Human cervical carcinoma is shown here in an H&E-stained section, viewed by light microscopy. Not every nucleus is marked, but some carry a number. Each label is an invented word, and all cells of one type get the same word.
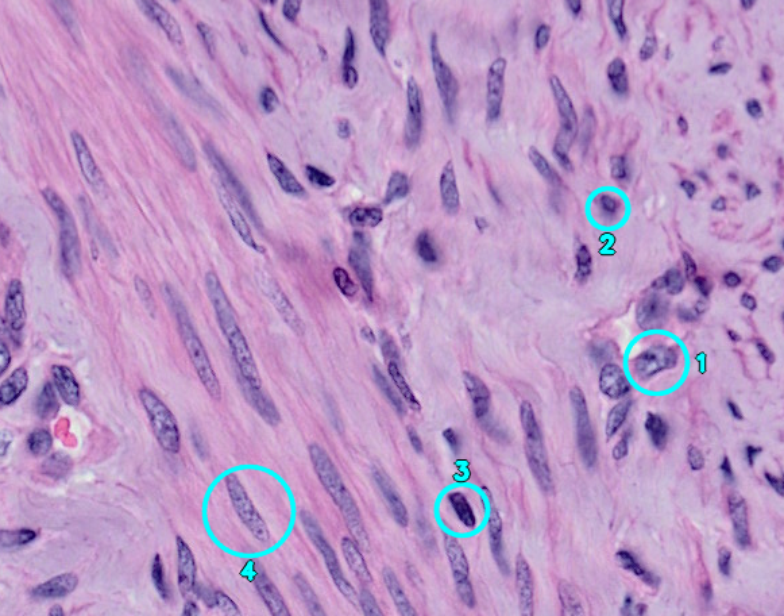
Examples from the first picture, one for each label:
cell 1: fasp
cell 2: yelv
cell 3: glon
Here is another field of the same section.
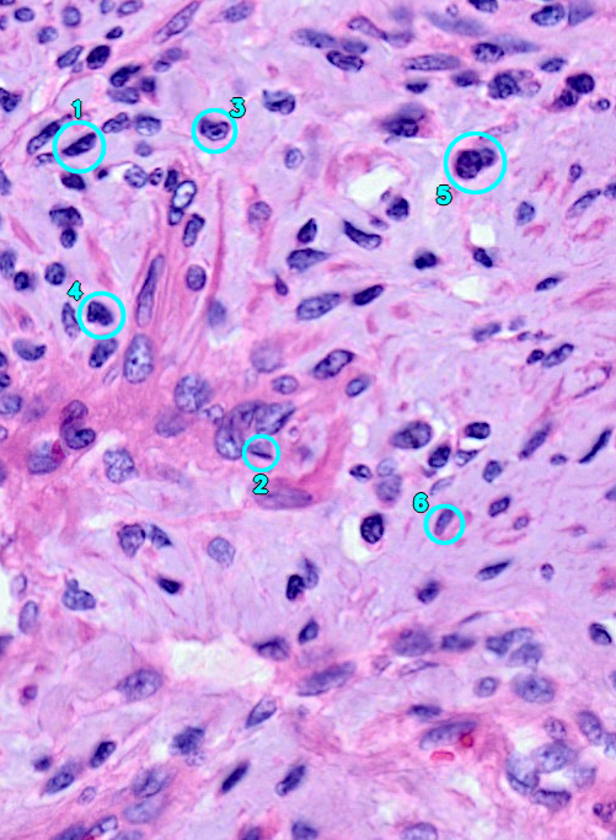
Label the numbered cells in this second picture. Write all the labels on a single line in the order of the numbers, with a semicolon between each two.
glon; fasp; glon; glon; glon; yelv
